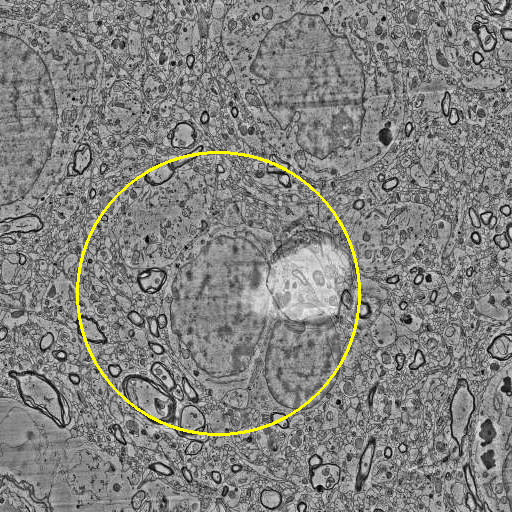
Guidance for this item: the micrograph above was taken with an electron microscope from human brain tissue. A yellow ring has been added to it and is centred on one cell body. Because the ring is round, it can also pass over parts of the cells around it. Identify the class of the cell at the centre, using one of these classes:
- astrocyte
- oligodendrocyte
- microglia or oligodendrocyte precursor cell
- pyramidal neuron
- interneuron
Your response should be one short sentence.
The ring surrounds the body of an interneuron.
